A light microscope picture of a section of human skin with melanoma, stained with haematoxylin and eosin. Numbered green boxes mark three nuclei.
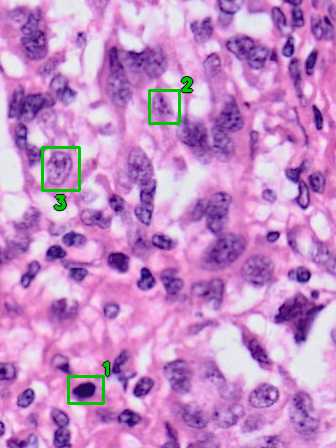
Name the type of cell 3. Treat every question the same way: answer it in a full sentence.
The cell referenced by the number 3 is a melanoma cell in this field.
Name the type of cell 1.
The cell marked with the number 1 is a plasma cell.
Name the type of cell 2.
Nucleus 2 in this section belongs to a melanoma cell.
